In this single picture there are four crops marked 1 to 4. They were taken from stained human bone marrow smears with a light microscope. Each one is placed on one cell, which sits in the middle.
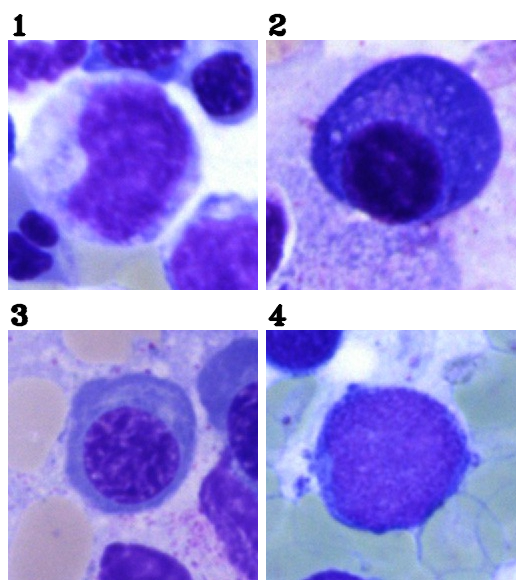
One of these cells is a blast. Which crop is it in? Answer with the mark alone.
4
